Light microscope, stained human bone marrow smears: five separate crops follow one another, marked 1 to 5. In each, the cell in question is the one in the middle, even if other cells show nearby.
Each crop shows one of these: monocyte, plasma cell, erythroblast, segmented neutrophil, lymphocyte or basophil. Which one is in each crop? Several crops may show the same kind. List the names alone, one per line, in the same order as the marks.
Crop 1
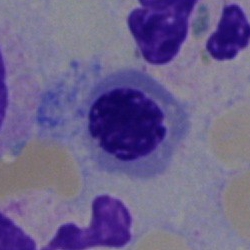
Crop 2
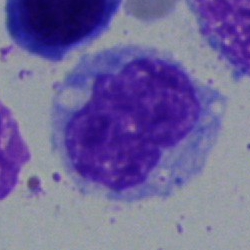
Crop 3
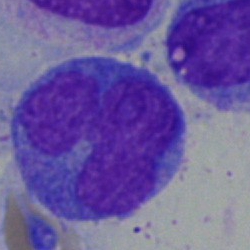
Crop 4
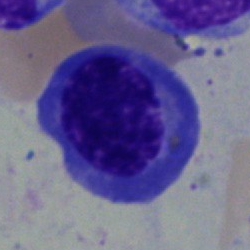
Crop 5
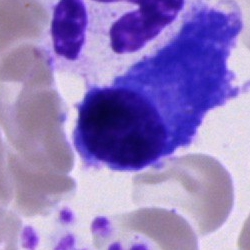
erythroblast
monocyte
monocyte
erythroblast
plasma cell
